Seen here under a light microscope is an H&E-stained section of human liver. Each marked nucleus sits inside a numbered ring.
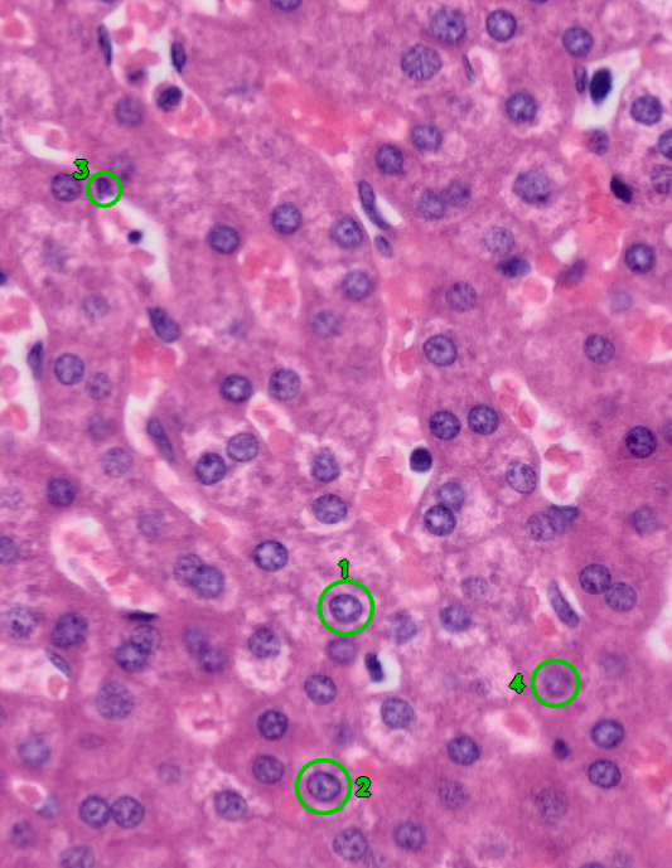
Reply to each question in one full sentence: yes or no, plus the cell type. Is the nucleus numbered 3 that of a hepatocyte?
No, the nucleus numbered 3 belongs to a fibroblast or stellate cell, not a hepatocyte.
